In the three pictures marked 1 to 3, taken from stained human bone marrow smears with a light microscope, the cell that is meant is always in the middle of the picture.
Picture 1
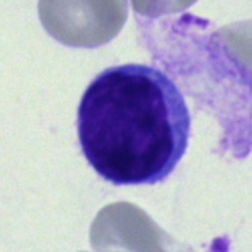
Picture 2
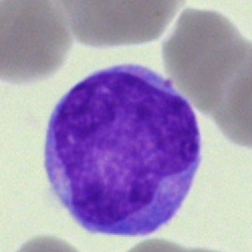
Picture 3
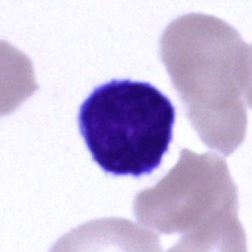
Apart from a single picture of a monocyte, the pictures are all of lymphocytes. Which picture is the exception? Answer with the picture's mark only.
2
